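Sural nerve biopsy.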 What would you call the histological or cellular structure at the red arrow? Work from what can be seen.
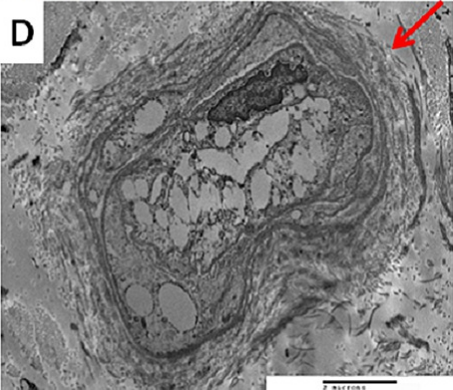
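Many thin lamellae are layered concentrically around a central profile. The layers encircle the central profile completely.
Onion bulb.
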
